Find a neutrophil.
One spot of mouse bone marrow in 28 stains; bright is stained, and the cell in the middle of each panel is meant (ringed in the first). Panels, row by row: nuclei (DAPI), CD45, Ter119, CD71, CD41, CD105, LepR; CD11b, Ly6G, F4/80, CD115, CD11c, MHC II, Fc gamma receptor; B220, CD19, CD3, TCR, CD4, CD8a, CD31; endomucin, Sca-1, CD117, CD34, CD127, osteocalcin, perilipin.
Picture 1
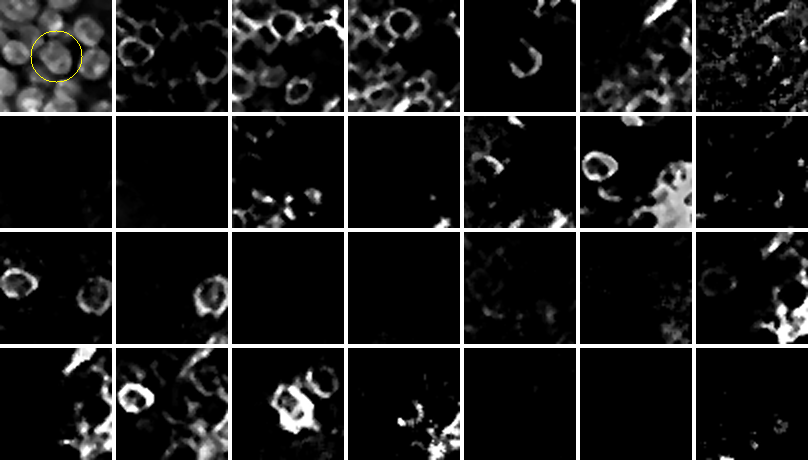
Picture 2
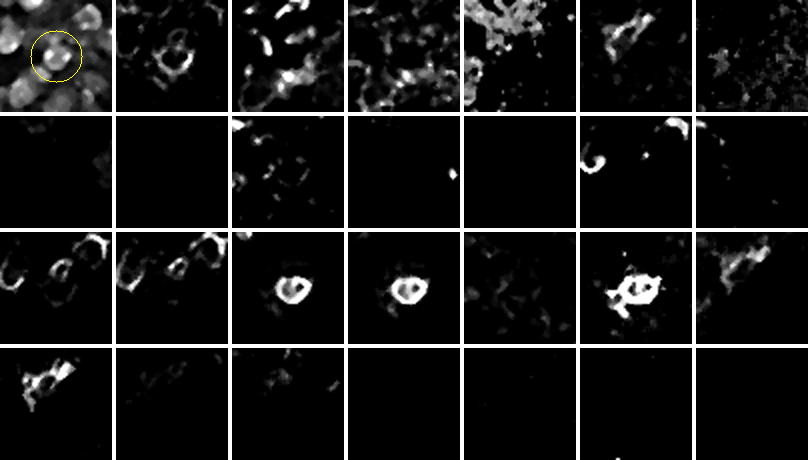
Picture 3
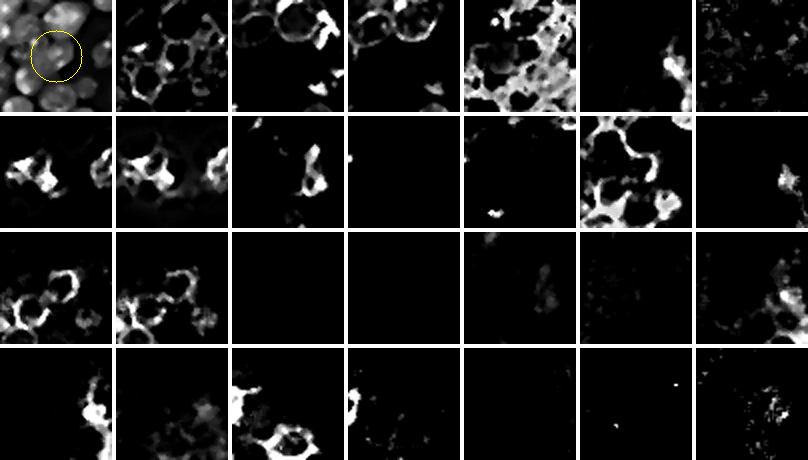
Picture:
3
